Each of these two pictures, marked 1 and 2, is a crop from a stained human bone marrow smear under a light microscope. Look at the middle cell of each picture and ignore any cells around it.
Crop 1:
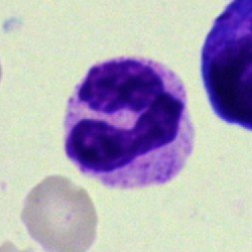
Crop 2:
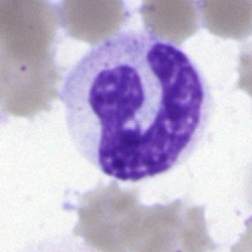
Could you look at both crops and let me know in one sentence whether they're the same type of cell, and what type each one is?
Yes, put down band neutrophils for both crops.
